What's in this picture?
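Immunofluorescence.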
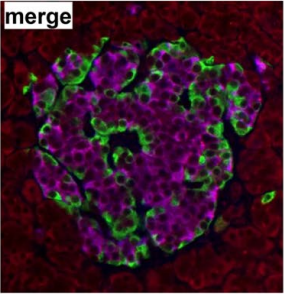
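A pancreatic islet is seen as a large rounded cluster of endocrine cells embedded in surrounding exocrine tissue. A thin dark border separates the islet from the surrounding tissue, whose cells are stained a duller red throughout. A few isolated green cells lie outside the cluster at the lower right.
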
